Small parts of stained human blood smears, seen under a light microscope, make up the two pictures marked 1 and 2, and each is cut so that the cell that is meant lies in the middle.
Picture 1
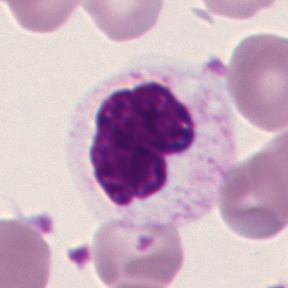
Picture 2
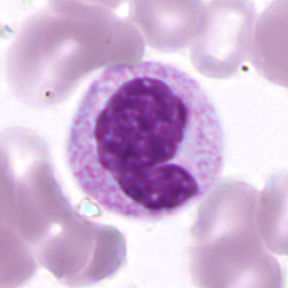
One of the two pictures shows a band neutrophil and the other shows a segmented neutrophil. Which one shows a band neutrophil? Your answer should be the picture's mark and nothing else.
2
